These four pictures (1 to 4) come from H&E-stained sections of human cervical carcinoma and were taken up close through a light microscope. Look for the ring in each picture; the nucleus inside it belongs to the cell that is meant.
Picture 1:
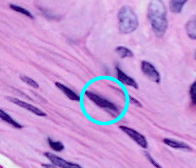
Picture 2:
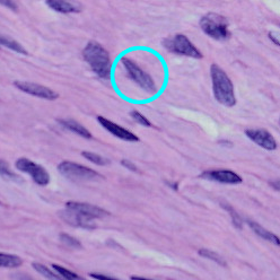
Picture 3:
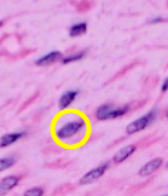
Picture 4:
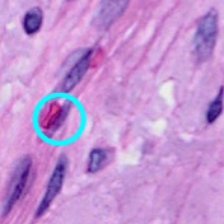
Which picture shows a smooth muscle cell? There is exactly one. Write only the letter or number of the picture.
3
